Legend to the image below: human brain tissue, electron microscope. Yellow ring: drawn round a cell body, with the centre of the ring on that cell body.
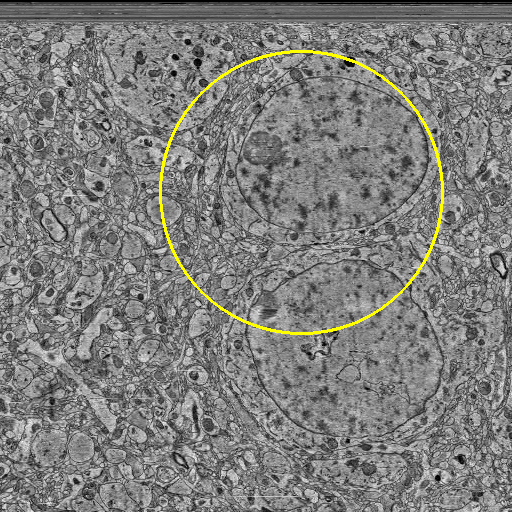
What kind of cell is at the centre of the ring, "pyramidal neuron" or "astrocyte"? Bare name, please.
pyramidal neuron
